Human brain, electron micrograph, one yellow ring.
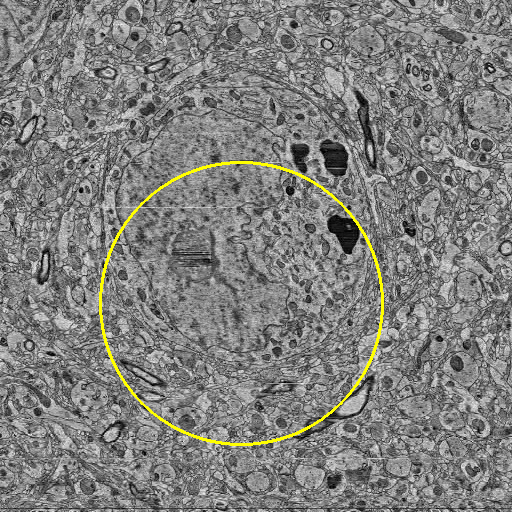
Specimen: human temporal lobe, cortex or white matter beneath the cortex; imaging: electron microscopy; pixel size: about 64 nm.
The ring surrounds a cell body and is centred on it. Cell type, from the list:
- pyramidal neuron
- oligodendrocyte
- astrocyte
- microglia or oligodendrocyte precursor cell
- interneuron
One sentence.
The yellow ring circles an interneuron.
